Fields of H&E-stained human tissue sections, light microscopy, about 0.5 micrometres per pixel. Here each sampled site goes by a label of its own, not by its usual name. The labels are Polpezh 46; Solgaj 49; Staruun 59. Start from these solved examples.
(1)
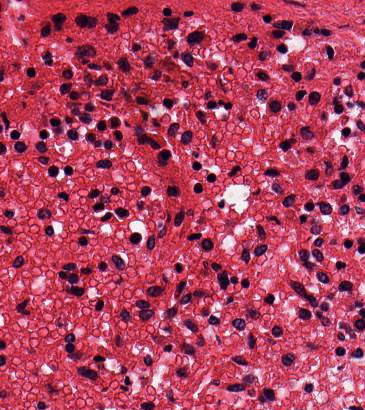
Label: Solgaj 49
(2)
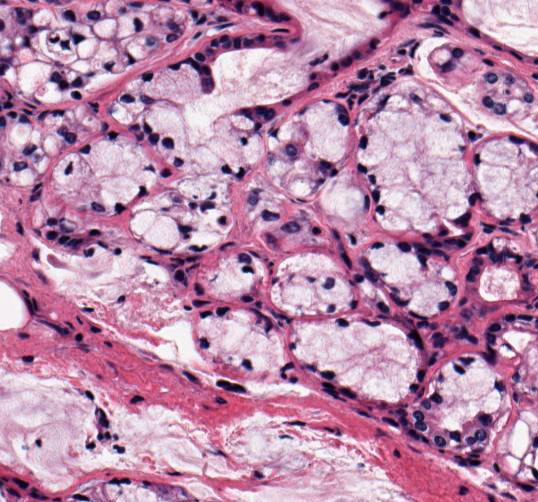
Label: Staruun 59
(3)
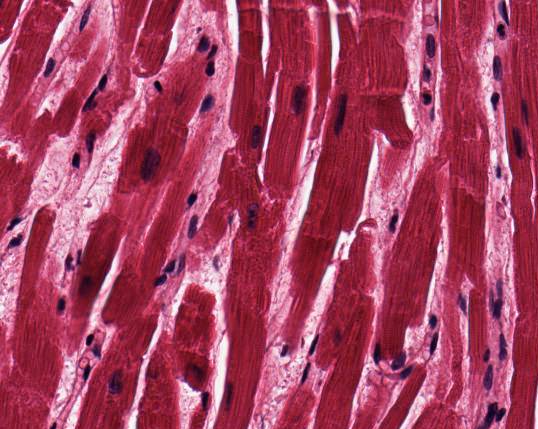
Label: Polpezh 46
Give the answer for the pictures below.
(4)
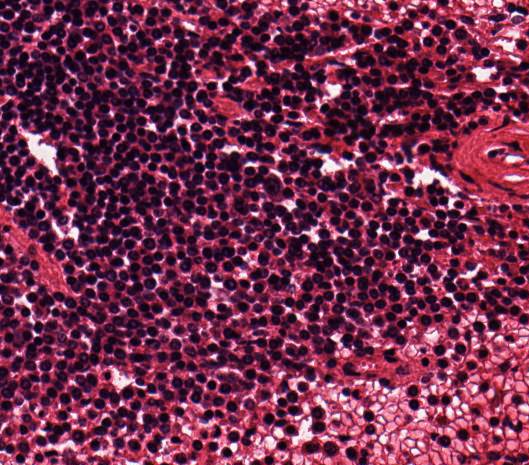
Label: Solgaj 49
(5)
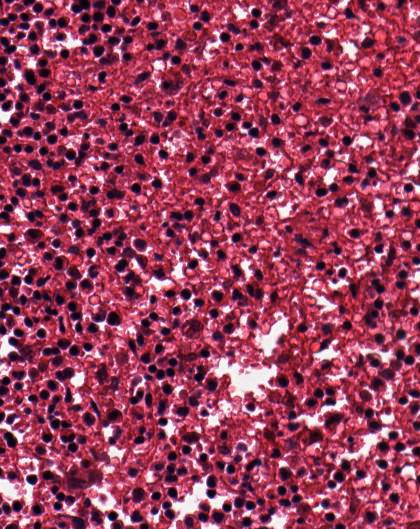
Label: Solgaj 49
